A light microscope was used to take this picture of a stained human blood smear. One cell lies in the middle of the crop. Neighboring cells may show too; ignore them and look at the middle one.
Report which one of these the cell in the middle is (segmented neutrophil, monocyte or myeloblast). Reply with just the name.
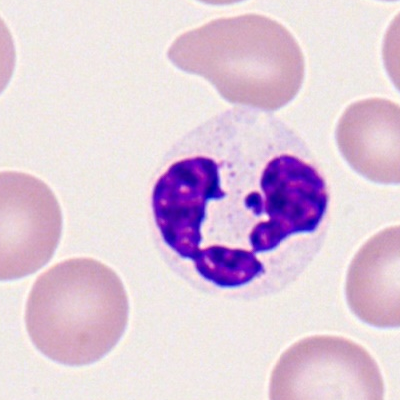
segmented neutrophil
